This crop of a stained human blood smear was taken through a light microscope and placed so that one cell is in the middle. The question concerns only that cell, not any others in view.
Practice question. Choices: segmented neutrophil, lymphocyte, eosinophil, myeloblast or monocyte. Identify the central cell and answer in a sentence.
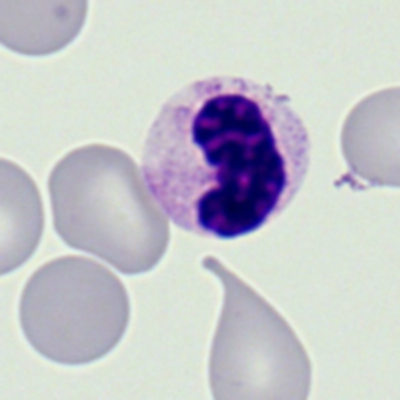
The centered cell in this crop is a segmented neutrophil.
